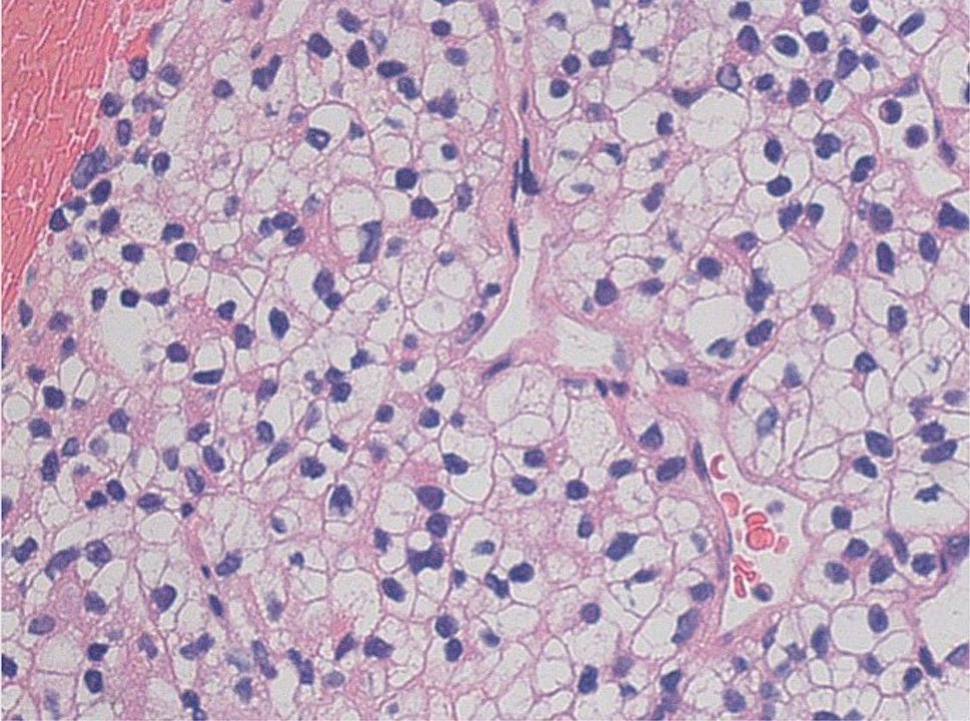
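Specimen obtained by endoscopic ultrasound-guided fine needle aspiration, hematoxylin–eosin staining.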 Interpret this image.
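Clear cell carcinoma, with sheets and nests of polygonal tumour cells whose cytoplasm is empty and clear, bounded by crisp pink cell membranes. The nuclei are round to slightly irregular and darkly stained, and they often sit off-centre in the cell. Delicate thin-walled vascular channels lined by flattened cells branch between the cell nests, one containing red blood cells, and a band of blood lies at the upper left edge.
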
